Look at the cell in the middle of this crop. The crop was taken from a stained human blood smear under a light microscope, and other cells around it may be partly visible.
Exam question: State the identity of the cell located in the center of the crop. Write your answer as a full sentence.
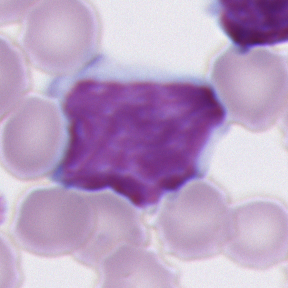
Seen at the centre of the crop is a typical lymphocyte.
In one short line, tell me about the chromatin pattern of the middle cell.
Coarse clumps are absent, and the chromatin is fine throughout.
